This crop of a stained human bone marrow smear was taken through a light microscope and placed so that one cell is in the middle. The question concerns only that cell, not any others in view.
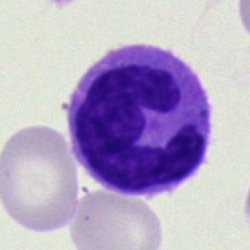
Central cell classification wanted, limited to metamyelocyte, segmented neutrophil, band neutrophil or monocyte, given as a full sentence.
The centrally placed cell is classified as a monocyte.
